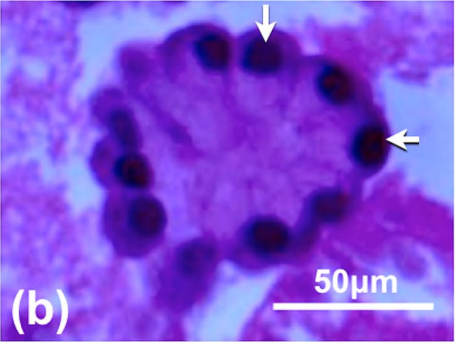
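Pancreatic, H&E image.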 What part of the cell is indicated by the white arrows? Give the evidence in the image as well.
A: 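Basally located nuclei. The arrows point to dark purple round bodies. These round bodies lie in a ring at the outer edge of the cell group. Paler pink cytoplasm fills the centre.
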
